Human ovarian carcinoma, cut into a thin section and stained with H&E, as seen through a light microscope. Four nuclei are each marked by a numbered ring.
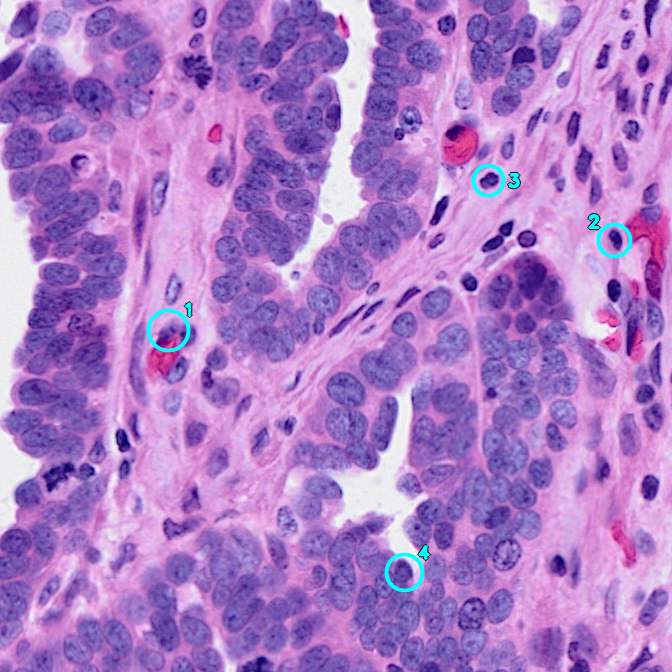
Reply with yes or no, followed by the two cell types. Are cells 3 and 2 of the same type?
Yes, both are lymphocytes.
